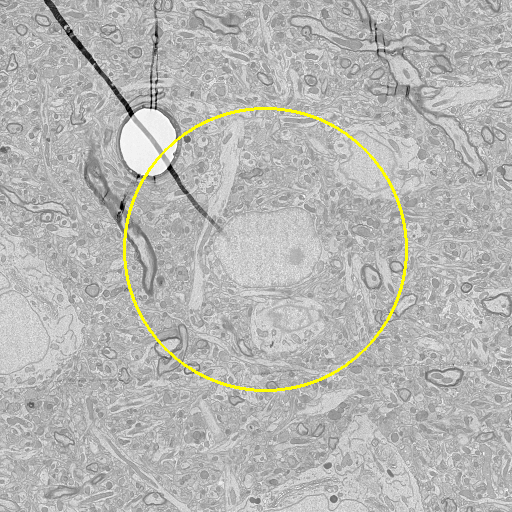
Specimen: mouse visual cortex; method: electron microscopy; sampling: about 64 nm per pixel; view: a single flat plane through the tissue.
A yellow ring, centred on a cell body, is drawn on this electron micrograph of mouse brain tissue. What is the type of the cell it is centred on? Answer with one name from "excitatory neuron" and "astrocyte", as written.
astrocyte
